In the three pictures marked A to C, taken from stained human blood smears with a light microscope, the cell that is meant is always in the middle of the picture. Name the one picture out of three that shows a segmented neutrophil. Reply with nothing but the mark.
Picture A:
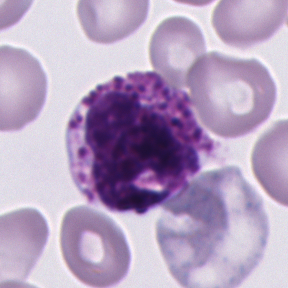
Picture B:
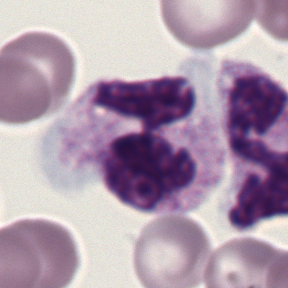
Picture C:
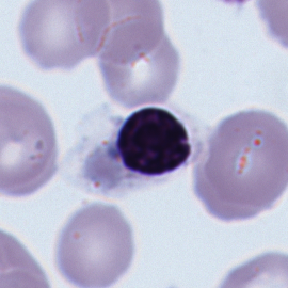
B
